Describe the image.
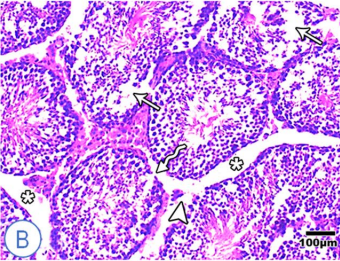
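Seminiferous tubules of testis with disorganised epithelium, seen in cross section. Tubules are separated by wide empty pale spaces with little interstitial tissue. The germ-cell layers are thinned and loosely arranged, with cells detached toward the lumen. Tubule outlines are irregular in places.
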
